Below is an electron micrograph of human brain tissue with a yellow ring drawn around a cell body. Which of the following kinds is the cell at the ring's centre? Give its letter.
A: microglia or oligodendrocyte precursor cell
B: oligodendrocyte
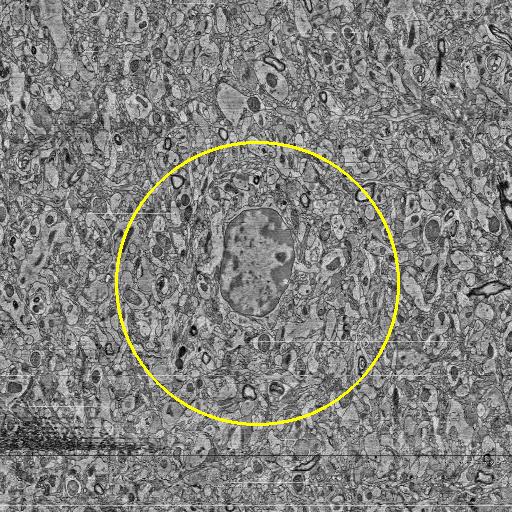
A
